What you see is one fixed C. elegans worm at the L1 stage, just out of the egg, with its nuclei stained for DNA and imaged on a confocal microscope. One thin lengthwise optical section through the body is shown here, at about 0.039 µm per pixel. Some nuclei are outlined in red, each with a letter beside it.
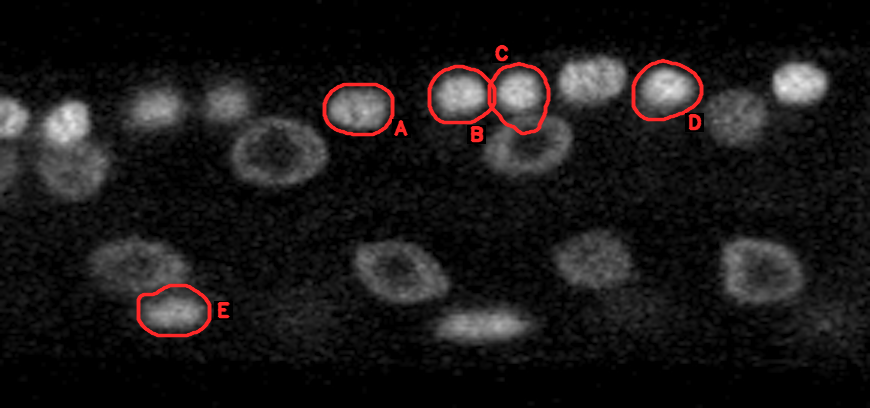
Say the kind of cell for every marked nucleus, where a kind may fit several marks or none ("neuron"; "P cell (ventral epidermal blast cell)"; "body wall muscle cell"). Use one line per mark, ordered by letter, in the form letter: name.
A: body wall muscle cell
B: neuron
C: neuron
D: neuron
E: body wall muscle cell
